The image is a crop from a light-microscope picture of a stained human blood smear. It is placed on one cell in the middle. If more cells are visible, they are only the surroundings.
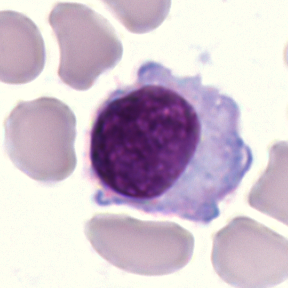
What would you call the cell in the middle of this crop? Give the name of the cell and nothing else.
plasma cell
